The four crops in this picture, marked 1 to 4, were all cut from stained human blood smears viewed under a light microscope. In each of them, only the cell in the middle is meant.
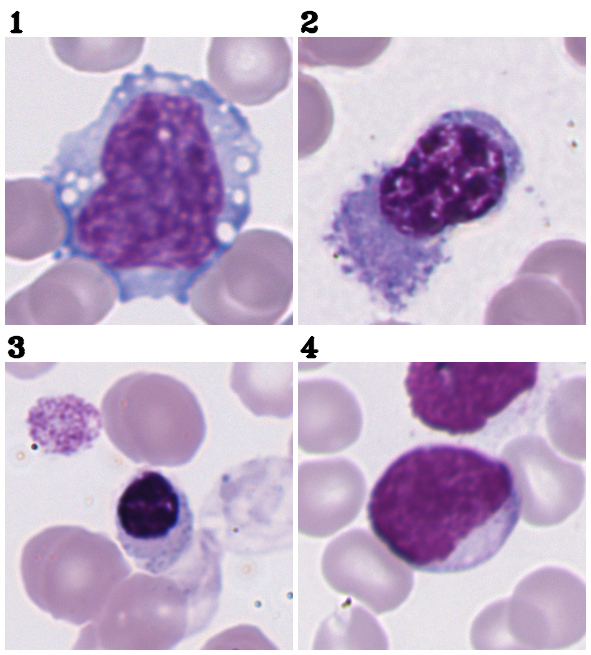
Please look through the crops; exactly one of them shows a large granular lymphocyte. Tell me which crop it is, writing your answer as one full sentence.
It is in crop 4 that a large granular lymphocyte is shown.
